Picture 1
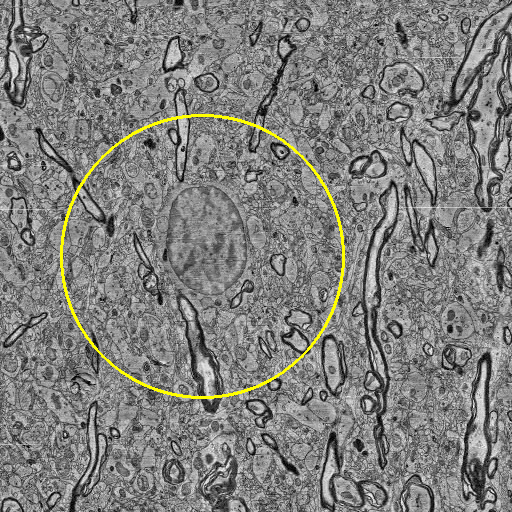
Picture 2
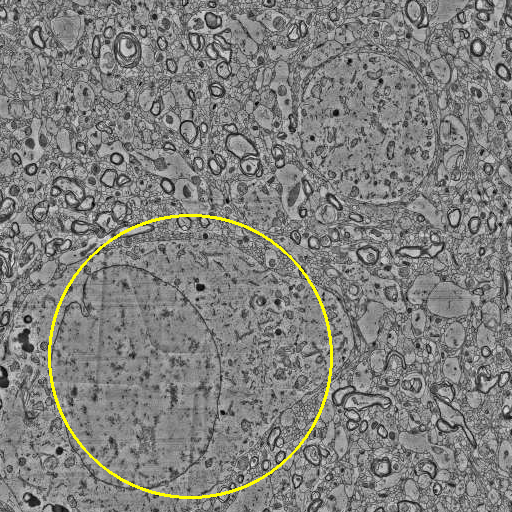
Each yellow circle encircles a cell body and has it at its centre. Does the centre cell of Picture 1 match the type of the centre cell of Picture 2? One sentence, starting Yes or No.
No, the cell centred in Picture 1 and the one in Picture 2 have separate types.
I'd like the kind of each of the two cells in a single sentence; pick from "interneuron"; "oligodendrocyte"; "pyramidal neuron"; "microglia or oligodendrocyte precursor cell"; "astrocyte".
The first ring marks an oligodendrocyte, and the second ring marks a pyramidal neuron.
